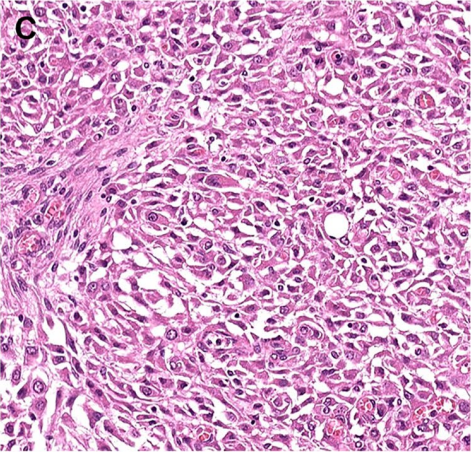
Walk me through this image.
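This focus of the tumour shows cells with rhabdoid and spindle-shaped forms. Thin strands of fibrous tissue and small vessels with red cells run between the tumour cells.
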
